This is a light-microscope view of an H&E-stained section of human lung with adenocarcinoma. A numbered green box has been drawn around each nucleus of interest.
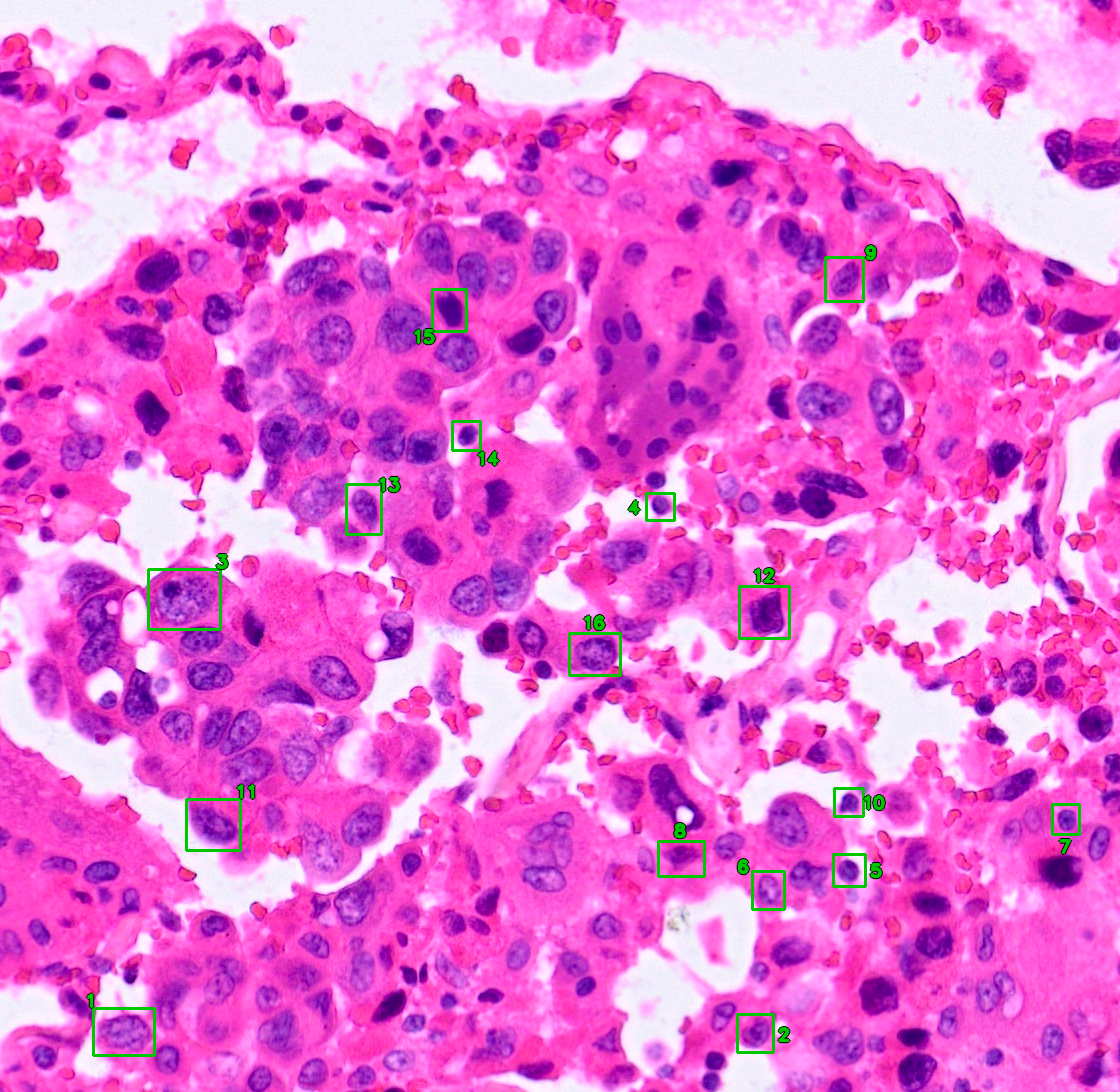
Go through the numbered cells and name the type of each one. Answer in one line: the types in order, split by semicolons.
carcinoma cell; macrophage or monocyte; carcinoma cell; lymphocyte; lymphocyte; macrophage or monocyte; lymphocyte; carcinoma cell; carcinoma cell; lymphocyte; carcinoma cell; carcinoma cell; carcinoma cell; lymphocyte; carcinoma cell; carcinoma cell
